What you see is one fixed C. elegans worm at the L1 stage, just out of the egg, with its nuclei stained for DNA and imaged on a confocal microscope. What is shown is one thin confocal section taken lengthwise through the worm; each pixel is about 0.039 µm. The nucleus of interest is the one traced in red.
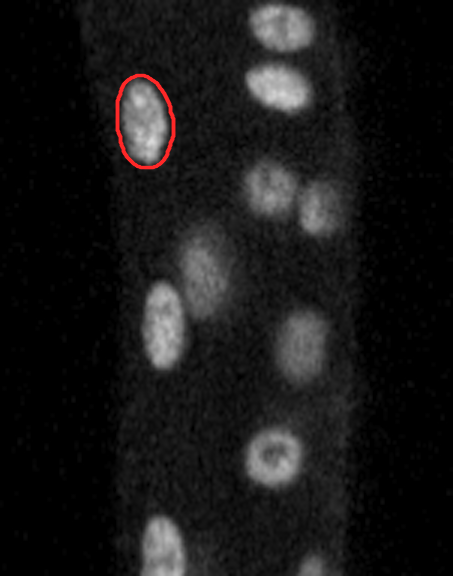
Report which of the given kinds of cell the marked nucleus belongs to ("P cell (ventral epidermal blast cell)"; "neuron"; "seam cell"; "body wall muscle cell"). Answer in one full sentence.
What is marked is the nucleus of a body wall muscle cell.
